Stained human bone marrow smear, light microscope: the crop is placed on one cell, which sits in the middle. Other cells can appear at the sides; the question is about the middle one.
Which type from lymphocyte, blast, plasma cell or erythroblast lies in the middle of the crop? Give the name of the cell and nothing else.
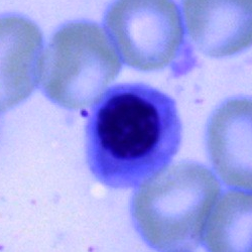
erythroblast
